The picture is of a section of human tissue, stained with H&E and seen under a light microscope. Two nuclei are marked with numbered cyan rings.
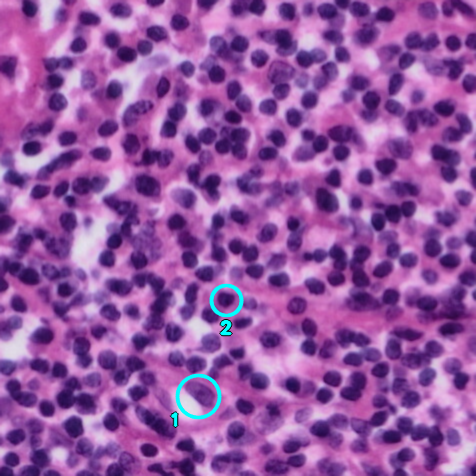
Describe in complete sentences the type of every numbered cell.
Cell 1 is an endothelial cell. Cell 2 is a plasma cell.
